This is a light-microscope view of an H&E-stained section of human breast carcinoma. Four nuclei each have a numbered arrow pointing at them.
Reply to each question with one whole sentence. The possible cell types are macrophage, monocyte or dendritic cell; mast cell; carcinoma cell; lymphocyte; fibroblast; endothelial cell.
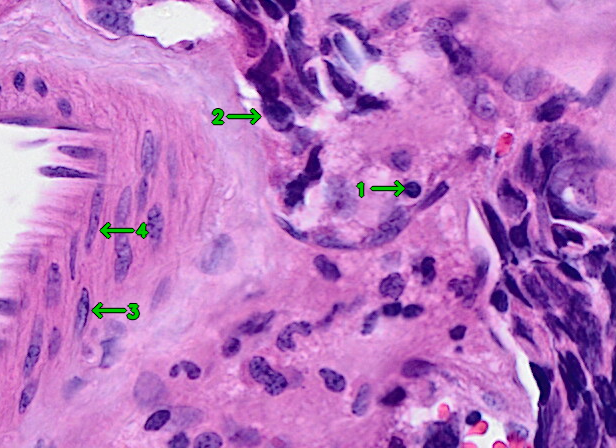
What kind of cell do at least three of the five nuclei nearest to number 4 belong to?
Most of the five nuclei nearest to number 4 are those of endothelial cells.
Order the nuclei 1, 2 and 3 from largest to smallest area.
From largest to smallest, the order is 2, 3, 1.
